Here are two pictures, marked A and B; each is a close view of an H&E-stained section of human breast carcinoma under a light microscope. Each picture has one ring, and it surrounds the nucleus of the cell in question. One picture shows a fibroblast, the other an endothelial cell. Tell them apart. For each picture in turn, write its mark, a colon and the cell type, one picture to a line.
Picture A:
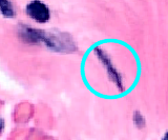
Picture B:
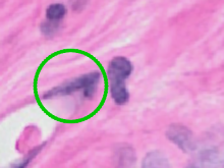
A: fibroblast
B: endothelial cell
